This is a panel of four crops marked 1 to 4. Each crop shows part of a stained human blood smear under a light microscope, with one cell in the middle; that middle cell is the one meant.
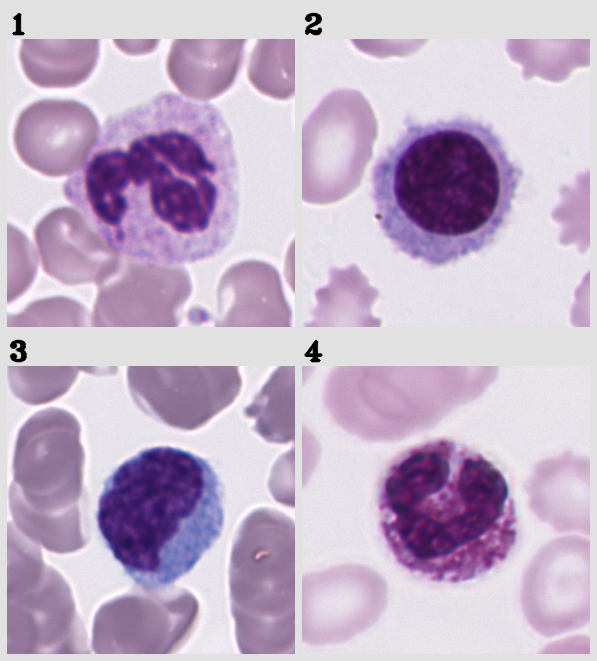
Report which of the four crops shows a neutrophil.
1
